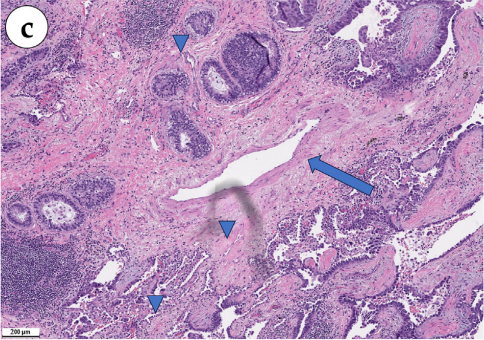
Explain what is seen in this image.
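This is lung tissue taken over by an acinar adenocarcinoma: gland-like rings of crowded, dark purple tumour cells lie in a broad pink fibrous collagen stroma. Dense dark blue clusters of lymphocytes sit at the left and upper edges, and smaller lymphocytes are scattered through the stroma. Across the middle runs an artery with a long slit-like empty lumen and a thick pink wall, and small capillaries lie scattered in the stroma around the glands.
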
